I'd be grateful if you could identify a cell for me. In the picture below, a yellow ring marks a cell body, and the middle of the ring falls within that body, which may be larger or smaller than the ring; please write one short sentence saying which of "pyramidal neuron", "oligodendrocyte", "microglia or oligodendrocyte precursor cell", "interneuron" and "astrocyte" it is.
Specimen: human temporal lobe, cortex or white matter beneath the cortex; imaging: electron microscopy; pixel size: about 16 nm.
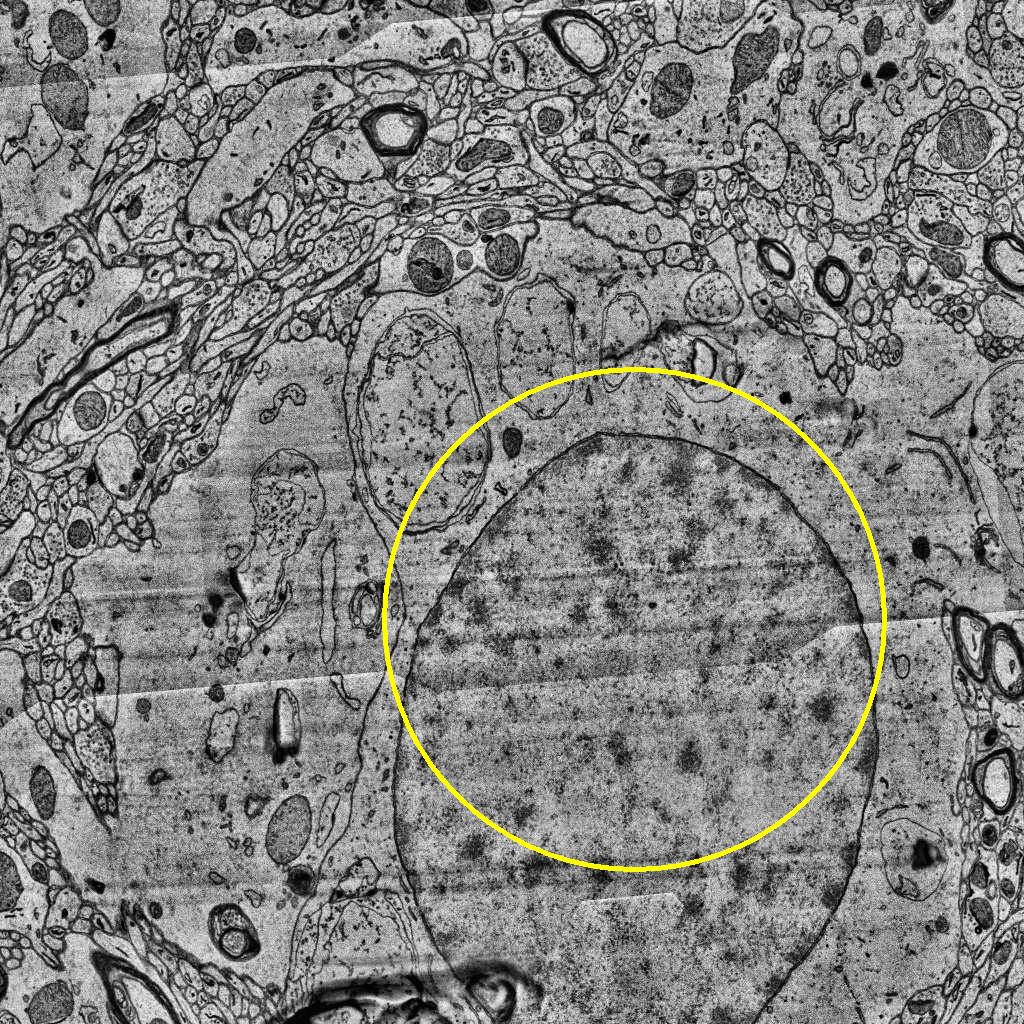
The cell under the ring's centre is an astrocyte.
